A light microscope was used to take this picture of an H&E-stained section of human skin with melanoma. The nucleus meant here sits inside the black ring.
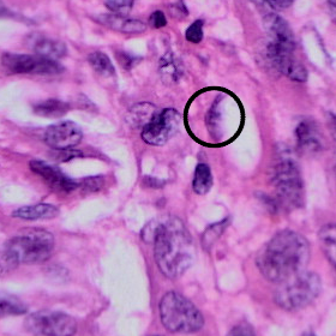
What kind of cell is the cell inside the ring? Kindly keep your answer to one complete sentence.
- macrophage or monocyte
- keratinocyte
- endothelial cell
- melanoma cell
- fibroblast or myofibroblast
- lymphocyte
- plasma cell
It is as an endothelial cell that the cell inside the ring is recorded.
